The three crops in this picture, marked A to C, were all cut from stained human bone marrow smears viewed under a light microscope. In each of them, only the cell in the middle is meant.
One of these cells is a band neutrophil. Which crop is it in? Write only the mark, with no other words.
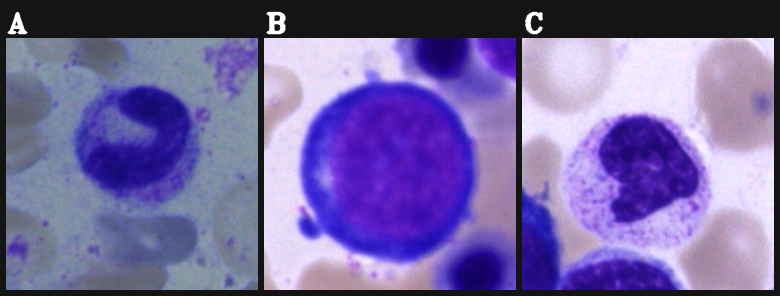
A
